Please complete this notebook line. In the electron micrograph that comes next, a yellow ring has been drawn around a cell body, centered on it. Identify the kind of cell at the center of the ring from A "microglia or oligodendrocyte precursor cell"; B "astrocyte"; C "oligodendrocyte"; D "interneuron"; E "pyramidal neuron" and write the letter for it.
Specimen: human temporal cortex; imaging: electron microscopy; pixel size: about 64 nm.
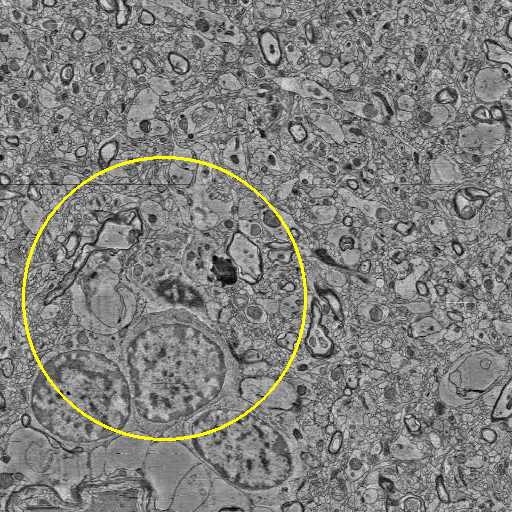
A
